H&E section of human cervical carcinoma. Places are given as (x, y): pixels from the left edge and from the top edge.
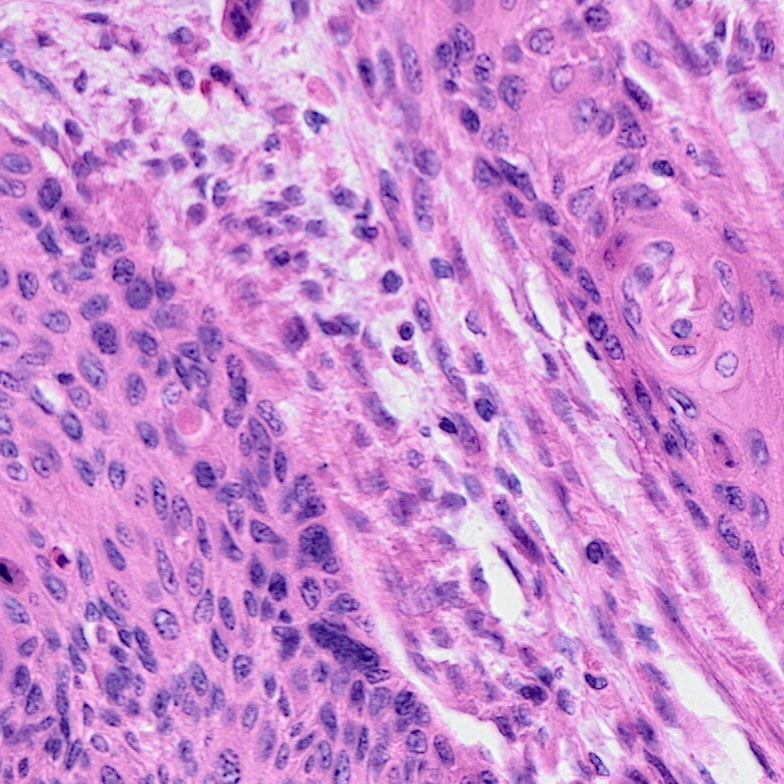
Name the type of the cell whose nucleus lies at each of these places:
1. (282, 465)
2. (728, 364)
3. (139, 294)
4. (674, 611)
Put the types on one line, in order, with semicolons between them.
squamous carcinoma cell; squamous carcinoma cell; squamous carcinoma cell; fibroblast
